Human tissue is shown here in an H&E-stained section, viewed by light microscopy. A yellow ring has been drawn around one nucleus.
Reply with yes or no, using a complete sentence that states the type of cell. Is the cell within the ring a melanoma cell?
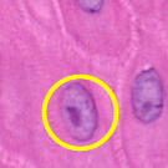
No, scored properly, the cell within the ring is a keratinocyte rather than a melanoma cell.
